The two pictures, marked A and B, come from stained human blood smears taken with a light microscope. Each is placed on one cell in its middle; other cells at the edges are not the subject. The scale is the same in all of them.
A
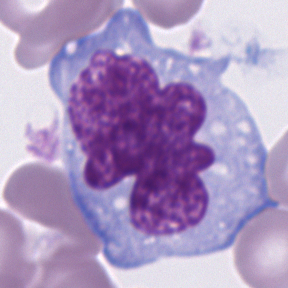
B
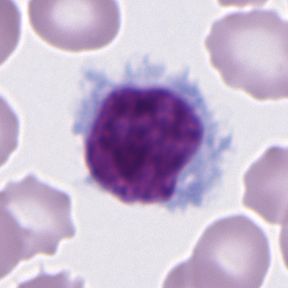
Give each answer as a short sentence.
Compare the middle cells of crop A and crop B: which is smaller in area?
The cell in crop B is smaller; the one in crop A has about 2.5 times its area.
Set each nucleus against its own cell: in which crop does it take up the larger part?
The nucleus fills more of the cell in crop B than in crop A.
